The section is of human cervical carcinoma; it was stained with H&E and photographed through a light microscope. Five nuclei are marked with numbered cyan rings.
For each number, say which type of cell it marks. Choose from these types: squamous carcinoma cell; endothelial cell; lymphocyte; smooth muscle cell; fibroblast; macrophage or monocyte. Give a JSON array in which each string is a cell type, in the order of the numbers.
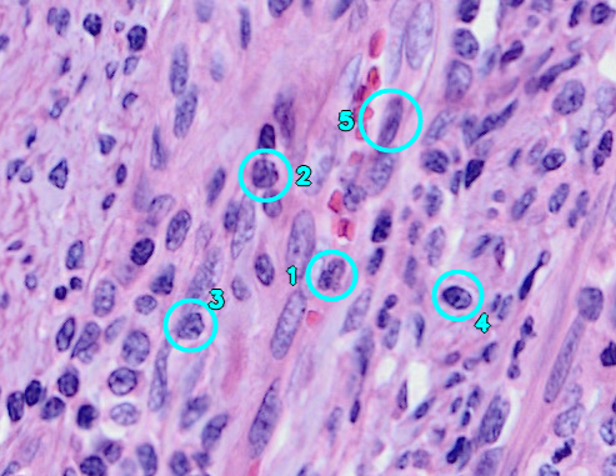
["endothelial cell", "lymphocyte", "lymphocyte", "lymphocyte", "endothelial cell"]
